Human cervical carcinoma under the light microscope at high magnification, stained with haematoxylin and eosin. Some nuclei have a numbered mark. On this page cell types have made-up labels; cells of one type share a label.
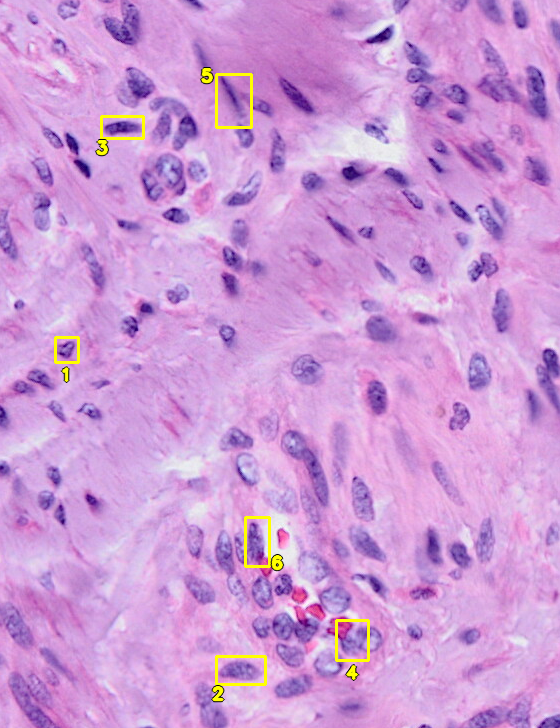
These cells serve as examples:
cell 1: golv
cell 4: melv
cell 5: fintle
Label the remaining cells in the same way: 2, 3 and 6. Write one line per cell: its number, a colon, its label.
2: golv
3: fintle
6: melv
